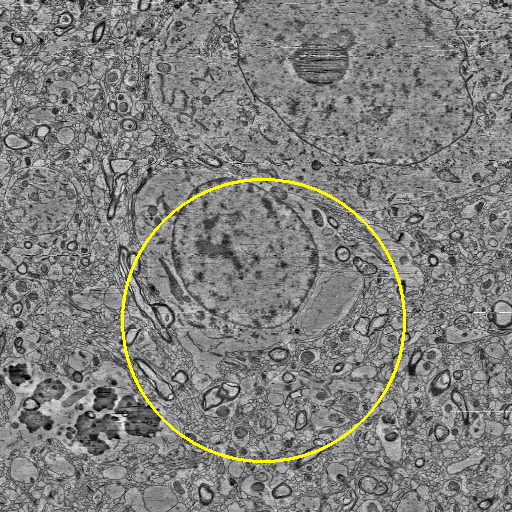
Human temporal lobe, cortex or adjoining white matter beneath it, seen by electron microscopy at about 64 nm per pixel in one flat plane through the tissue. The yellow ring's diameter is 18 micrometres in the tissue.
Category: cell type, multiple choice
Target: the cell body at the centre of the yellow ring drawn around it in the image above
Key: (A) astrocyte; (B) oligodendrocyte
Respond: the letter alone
A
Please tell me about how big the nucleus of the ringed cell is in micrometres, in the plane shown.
In this plane the nucleus spans approximately 11 by 9 micrometers.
